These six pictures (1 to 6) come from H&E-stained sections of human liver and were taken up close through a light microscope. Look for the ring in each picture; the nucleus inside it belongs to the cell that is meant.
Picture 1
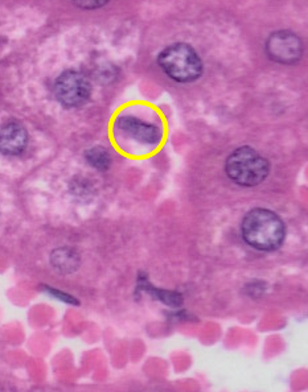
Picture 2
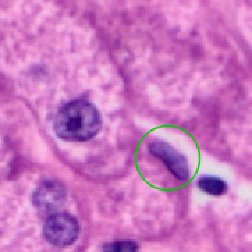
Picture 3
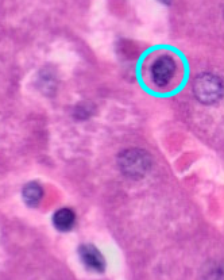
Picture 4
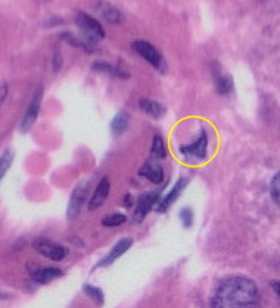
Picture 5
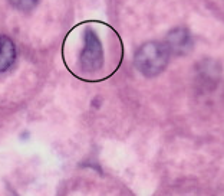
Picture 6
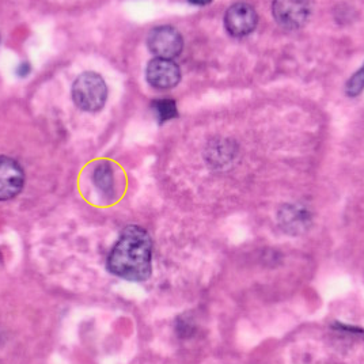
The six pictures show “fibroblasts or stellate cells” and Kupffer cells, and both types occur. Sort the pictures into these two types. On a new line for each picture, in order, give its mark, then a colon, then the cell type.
1: Kupffer cell
2: Kupffer cell
3: fibroblast or stellate cell
4: fibroblast or stellate cell
5: Kupffer cell
6: Kupffer cell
